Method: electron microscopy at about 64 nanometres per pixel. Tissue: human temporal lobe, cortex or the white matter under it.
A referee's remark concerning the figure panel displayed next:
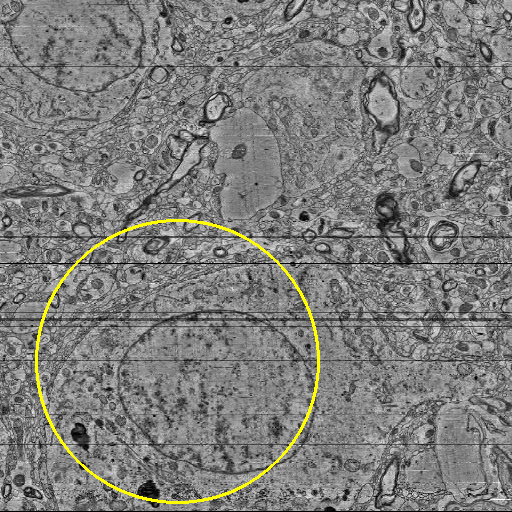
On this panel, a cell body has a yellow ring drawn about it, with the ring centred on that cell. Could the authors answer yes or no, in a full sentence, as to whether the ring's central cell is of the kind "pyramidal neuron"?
Yes, the cell sitting at the middle of the ring on this panel belongs to that kind.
